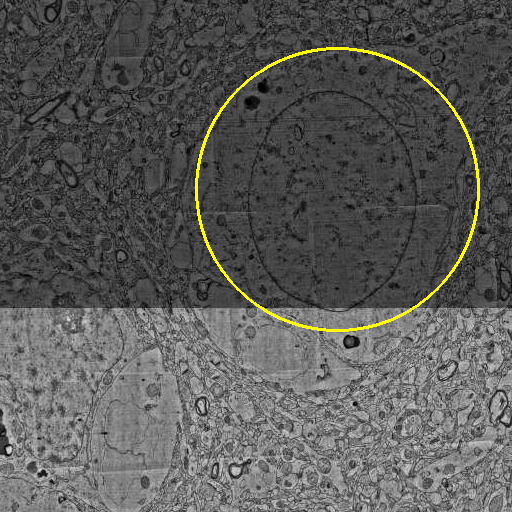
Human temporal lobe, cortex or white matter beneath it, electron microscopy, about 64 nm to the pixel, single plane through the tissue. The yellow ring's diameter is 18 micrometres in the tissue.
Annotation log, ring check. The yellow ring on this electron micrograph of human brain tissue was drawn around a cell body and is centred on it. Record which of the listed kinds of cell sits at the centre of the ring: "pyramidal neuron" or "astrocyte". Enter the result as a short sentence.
The cell at the centre of the ring is a pyramidal neuron.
